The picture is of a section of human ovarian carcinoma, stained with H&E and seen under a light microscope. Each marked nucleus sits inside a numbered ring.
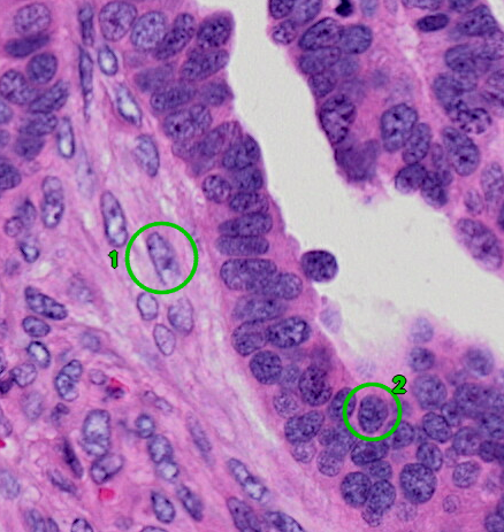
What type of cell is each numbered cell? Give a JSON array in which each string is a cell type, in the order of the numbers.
["fibroblast", "carcinoma cell"]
